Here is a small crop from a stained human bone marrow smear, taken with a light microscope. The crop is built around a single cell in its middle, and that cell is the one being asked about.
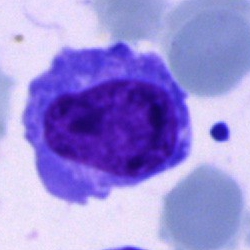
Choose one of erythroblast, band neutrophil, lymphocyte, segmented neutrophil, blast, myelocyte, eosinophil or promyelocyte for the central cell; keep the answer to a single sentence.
In the crop, the cell of interest at the centre is a blast.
